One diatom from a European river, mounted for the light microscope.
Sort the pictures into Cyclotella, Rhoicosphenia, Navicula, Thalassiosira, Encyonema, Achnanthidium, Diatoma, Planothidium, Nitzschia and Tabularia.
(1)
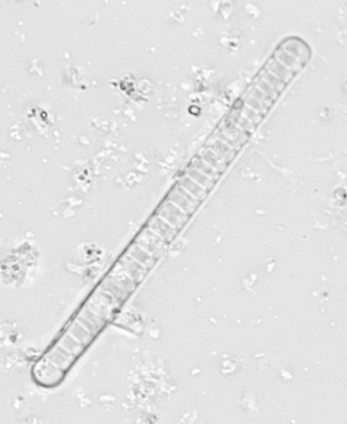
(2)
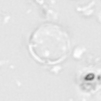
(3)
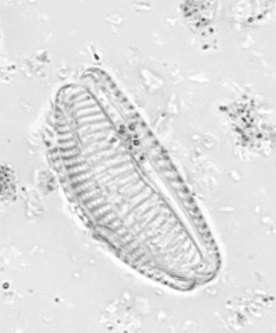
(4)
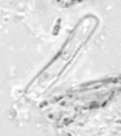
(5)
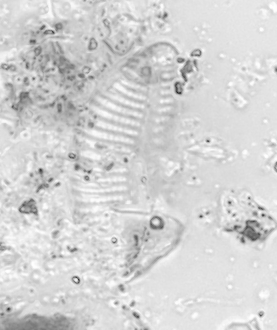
Diatoma: 1
Thalassiosira: 2
Encyonema: 3, 5
Achnanthidium: 4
